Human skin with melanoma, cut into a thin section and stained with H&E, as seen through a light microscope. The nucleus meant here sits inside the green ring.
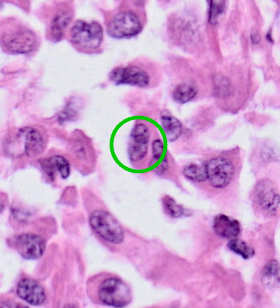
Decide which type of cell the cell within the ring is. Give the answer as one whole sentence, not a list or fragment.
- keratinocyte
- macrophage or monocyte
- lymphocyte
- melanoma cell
Within the stained tissue, the cell within the ring is a melanoma cell.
